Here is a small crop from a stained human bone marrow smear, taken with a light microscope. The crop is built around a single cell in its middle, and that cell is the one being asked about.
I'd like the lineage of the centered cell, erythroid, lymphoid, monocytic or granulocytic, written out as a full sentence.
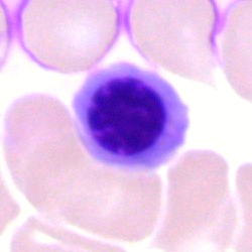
The cell at the center of the crop derives from the erythroid lineage.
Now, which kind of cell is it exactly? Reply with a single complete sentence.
This crop is built around an erythroblast at its centre.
